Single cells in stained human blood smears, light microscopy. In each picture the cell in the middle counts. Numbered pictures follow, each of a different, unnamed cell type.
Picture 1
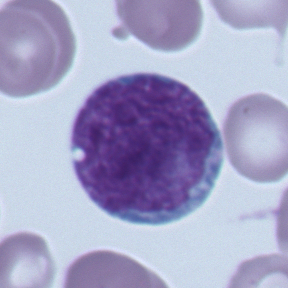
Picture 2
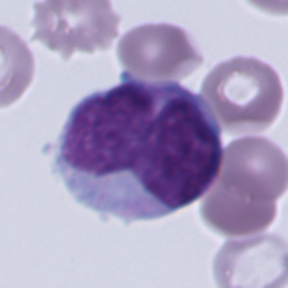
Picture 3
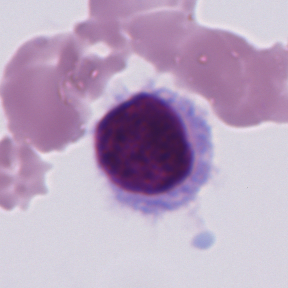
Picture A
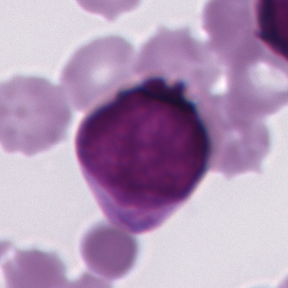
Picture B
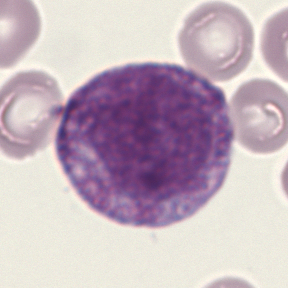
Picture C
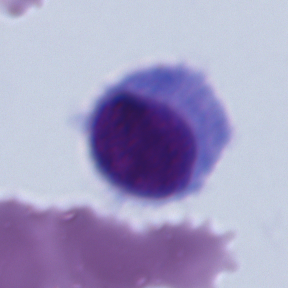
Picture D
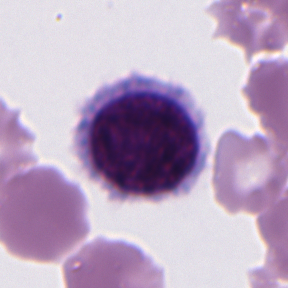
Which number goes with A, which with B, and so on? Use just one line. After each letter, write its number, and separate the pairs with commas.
A 1, B 2, C 3, D 3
